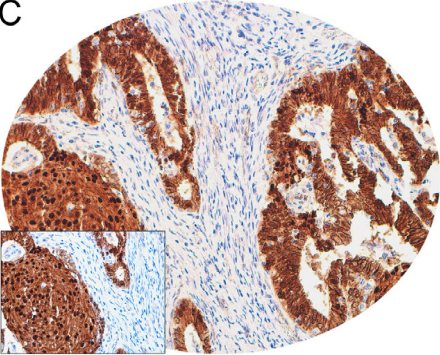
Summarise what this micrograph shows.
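Here nests and papillary fronds of tumour epithelium lie on either side of a band of stroma. The tumour cells are tall and crowded, and their cytoplasm and cell borders are stained an intense brown, with many nuclei also brown. The stroma in the middle is made of spindle-shaped cells with elongated blue nuclei and stays almost unstained. In the inset a solid nest of tumour cells with dark brown nuclei sits against the pale blue stroma.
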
